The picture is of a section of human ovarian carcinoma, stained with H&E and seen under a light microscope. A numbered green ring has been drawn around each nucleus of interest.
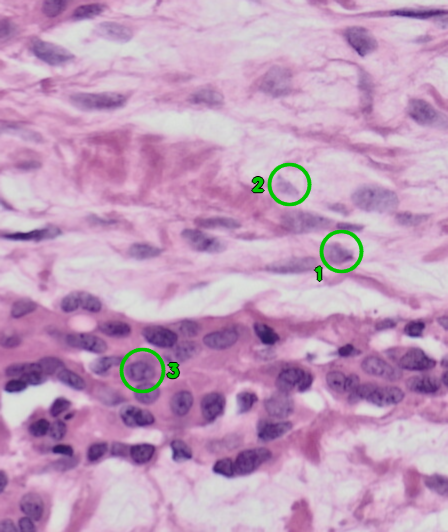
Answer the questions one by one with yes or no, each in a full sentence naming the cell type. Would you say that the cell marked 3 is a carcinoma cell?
Yes, the cell that bears number 3 is a carcinoma cell.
